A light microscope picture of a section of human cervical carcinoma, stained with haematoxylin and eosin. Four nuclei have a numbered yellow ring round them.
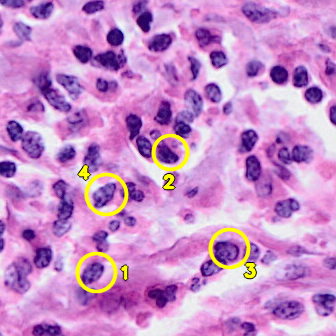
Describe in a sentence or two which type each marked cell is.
Cell 1 is a lymphocyte, cell 2 is a lymphocyte, cell 3 is a macrophage or monocyte and cell 4 is a lymphocyte.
